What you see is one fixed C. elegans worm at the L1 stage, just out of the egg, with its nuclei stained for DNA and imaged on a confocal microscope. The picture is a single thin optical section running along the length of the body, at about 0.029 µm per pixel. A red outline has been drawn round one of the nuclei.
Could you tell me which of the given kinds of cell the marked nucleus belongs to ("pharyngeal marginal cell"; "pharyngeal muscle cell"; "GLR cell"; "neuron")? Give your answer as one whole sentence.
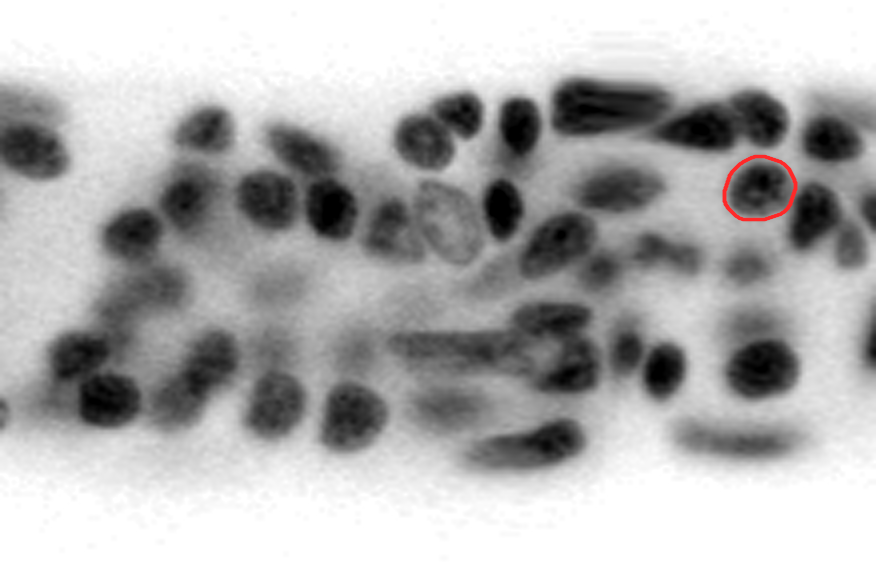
It is the nucleus of a pharyngeal marginal cell.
